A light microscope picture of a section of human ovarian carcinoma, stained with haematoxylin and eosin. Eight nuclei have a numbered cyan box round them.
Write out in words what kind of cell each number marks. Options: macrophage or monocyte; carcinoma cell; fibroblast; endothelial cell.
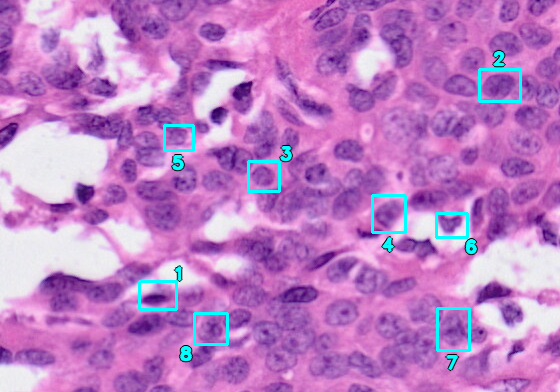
Cell 1 is a carcinoma cell, cell 2 is a carcinoma cell, cell 3 is a macrophage or monocyte, cell 4 is a carcinoma cell, cell 5 is a macrophage or monocyte, cell 6 is a macrophage or monocyte, cell 7 is a carcinoma cell and cell 8 is a carcinoma cell.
